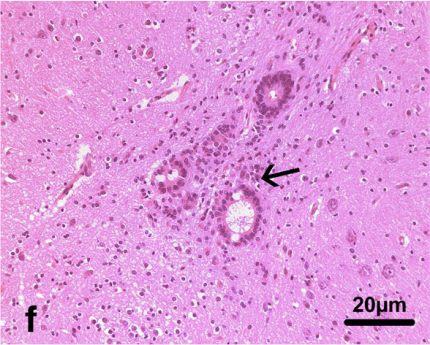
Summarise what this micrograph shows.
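Pale pink neuropil with scattered small round nuclei, holding a group of rosettes and immature cells. Three small rosettes are rings of columnar cells with dark, radially set nuclei around a small clear lumen. Beside and between them lies a cluster of small cells with dark round nuclei and little cytoplasm, more crowded than the surrounding tissue. A few larger cells with paler nuclei and more cytoplasm lie scattered in the neuropil, and thin vessels cross the field.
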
